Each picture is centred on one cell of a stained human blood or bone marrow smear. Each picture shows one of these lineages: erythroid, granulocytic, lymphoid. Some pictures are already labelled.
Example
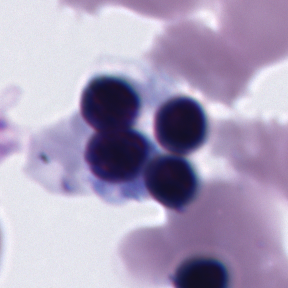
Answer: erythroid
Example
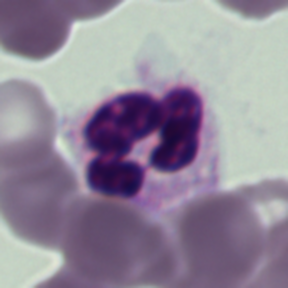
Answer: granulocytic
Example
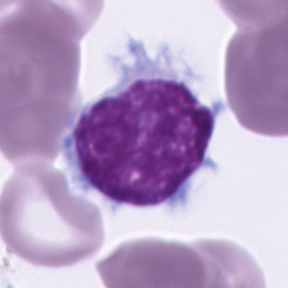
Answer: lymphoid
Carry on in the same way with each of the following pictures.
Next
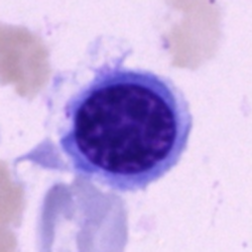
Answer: erythroid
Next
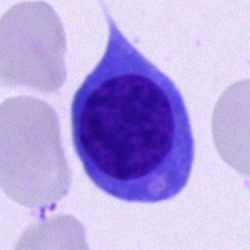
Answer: lymphoid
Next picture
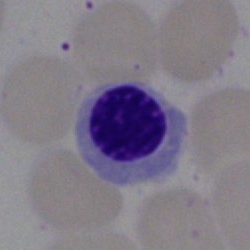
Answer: erythroid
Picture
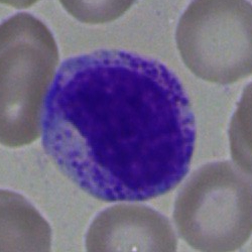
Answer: granulocytic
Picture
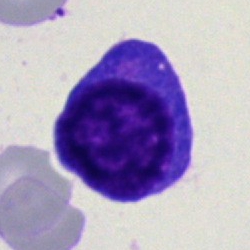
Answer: lymphoid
